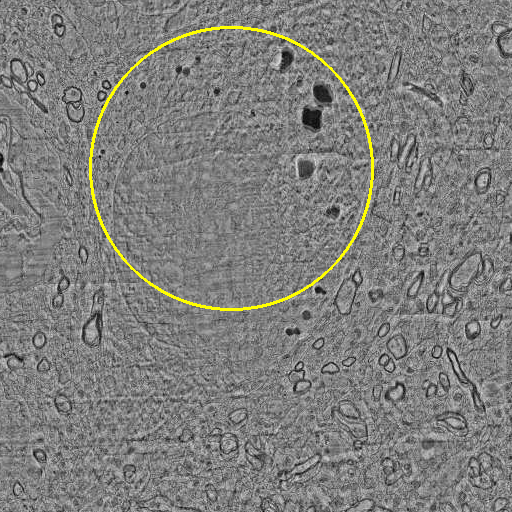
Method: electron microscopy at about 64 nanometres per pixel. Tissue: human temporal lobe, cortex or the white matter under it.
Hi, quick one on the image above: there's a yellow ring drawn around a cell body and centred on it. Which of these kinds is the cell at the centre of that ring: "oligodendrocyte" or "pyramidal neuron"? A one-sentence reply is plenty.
The cell at the centre of the ring is a pyramidal neuron.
